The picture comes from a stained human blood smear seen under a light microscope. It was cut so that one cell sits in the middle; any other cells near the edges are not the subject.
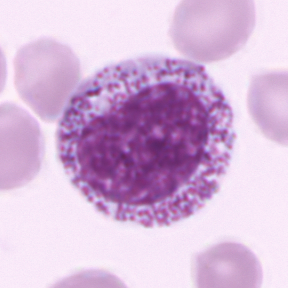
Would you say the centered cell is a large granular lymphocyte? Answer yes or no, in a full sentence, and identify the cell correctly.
No, the central cell is counted as a myelocyte instead of a large granular lymphocyte.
